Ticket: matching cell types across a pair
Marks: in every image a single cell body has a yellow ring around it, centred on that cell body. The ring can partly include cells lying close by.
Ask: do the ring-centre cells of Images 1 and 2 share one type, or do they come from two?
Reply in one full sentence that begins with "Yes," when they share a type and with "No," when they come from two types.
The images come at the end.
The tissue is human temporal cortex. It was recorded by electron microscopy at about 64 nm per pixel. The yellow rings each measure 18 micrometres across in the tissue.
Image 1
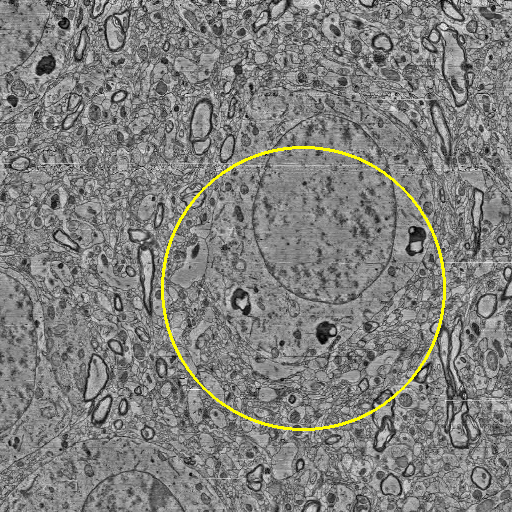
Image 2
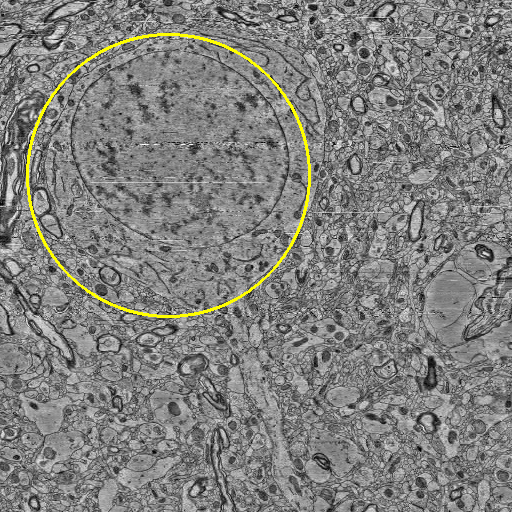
Yes, the cells in the centres of the rings in Image 1 and Image 2 share one type.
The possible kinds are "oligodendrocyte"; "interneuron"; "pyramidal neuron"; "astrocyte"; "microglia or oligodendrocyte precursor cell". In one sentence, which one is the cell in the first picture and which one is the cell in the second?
The first and the second cell are each a pyramidal neuron.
